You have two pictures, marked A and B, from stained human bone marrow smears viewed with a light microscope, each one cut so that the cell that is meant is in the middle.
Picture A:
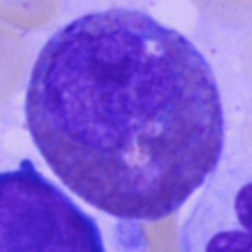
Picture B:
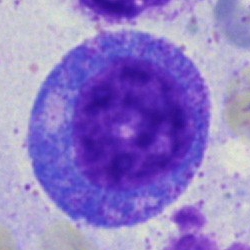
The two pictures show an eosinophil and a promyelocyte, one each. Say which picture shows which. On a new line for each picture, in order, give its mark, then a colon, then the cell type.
A: eosinophil
B: promyelocyte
